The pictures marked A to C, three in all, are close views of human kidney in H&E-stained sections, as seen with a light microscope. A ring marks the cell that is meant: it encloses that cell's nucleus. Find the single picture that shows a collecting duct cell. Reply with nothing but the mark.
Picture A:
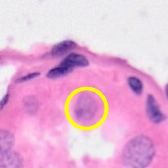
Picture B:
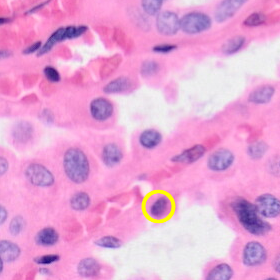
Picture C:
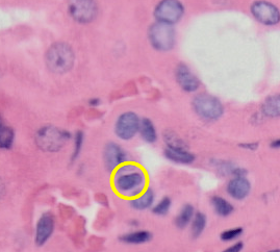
C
